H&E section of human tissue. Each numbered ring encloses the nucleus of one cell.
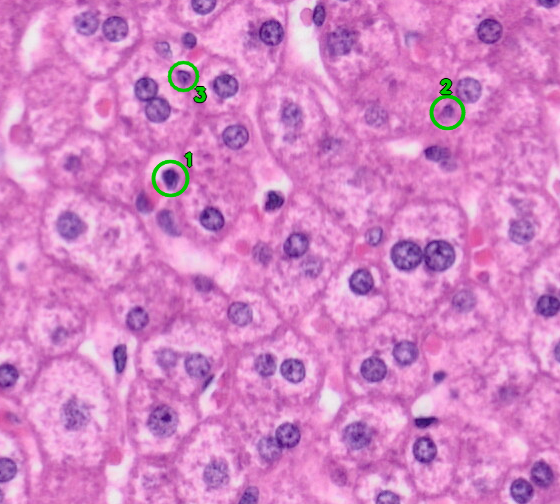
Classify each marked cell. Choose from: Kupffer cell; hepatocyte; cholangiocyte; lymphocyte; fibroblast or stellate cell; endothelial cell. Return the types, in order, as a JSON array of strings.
["lymphocyte", "fibroblast or stellate cell", "fibroblast or stellate cell"]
